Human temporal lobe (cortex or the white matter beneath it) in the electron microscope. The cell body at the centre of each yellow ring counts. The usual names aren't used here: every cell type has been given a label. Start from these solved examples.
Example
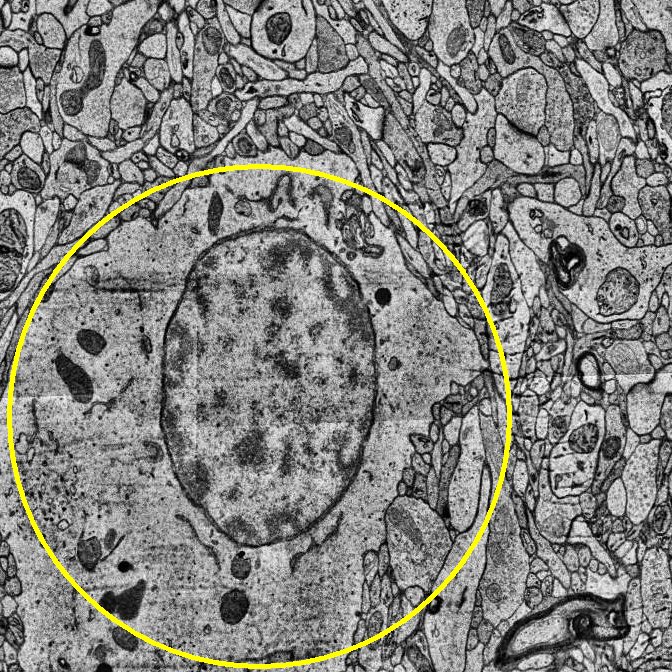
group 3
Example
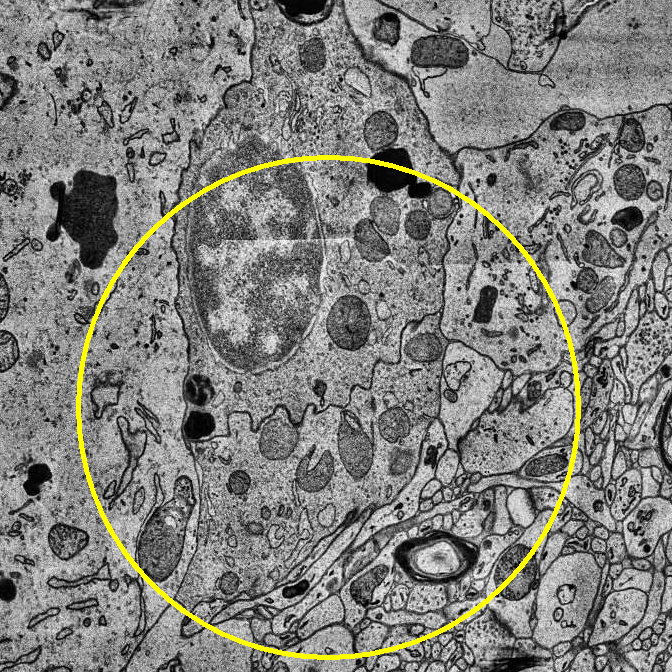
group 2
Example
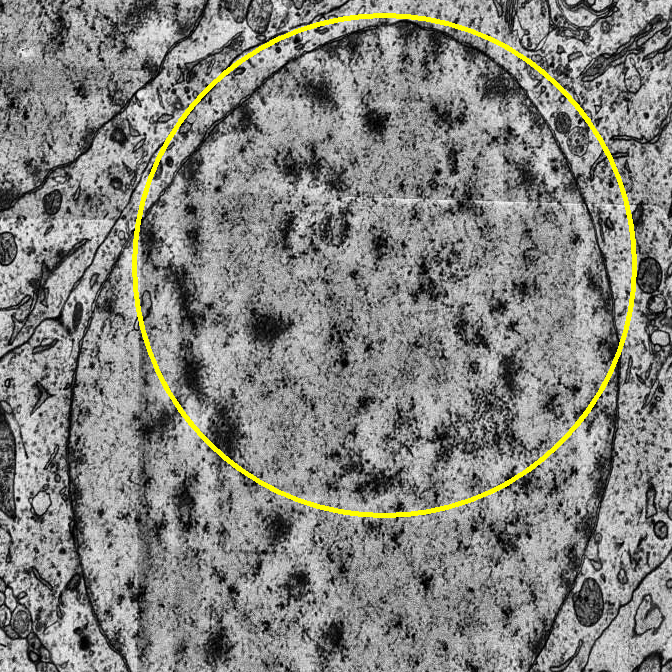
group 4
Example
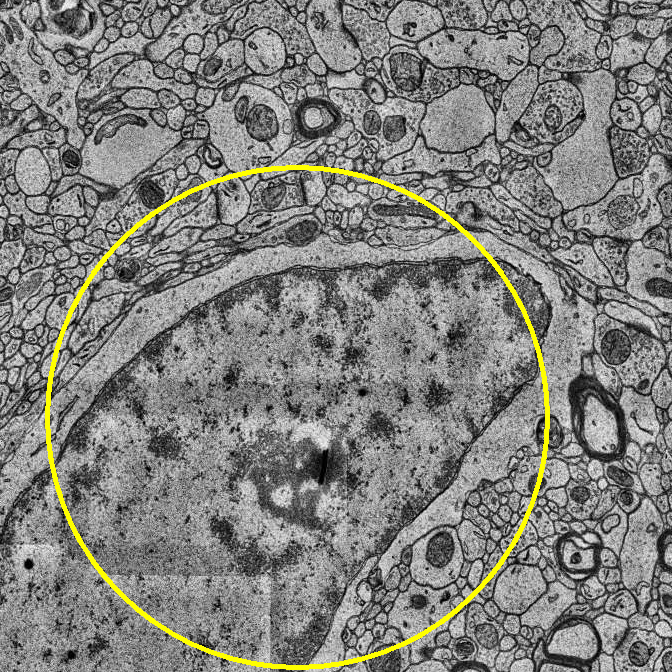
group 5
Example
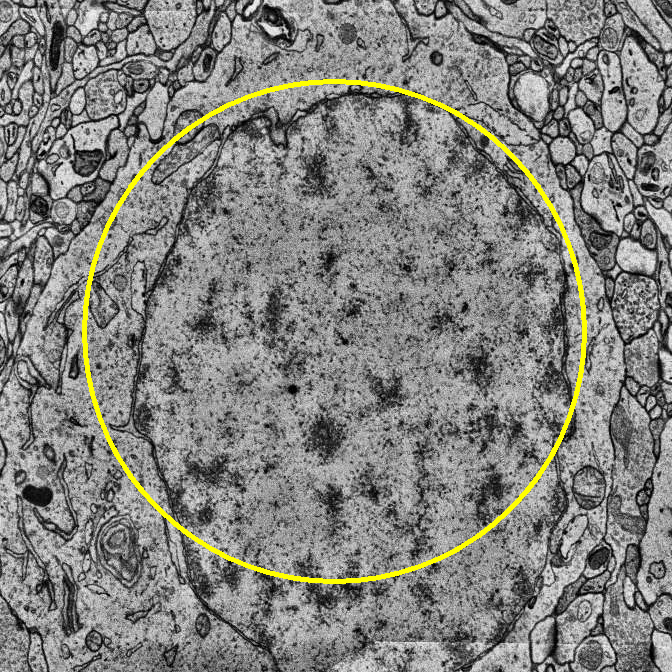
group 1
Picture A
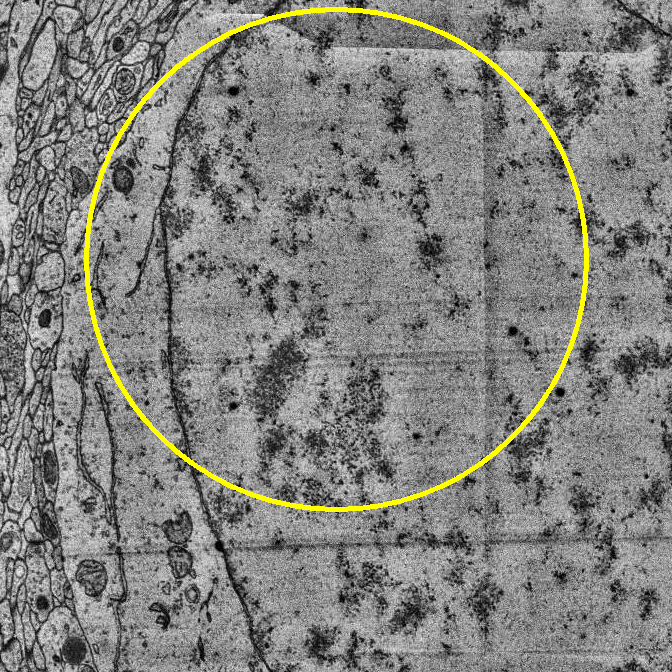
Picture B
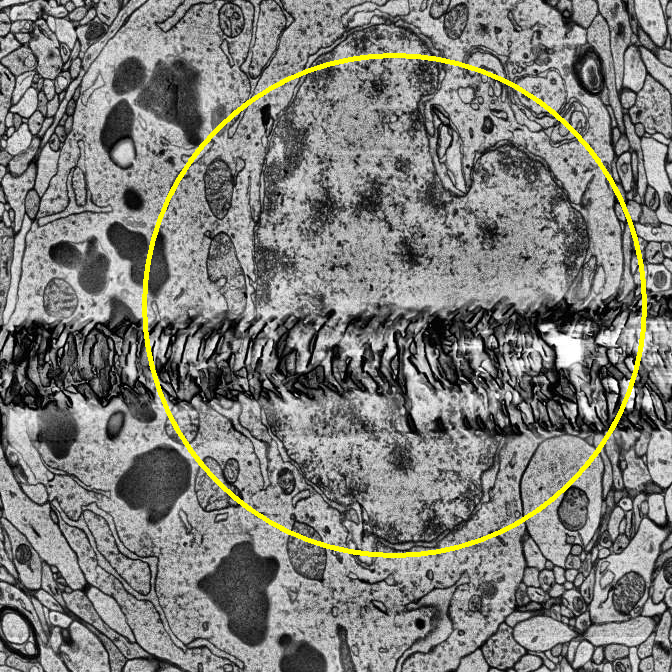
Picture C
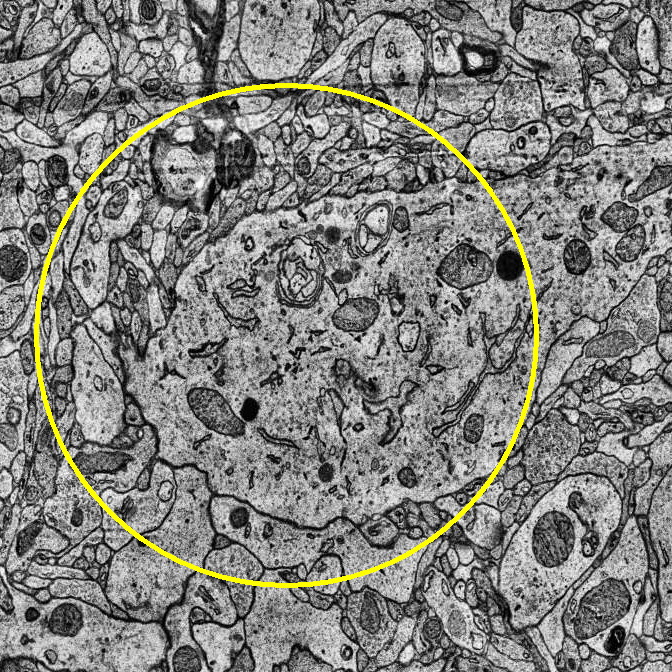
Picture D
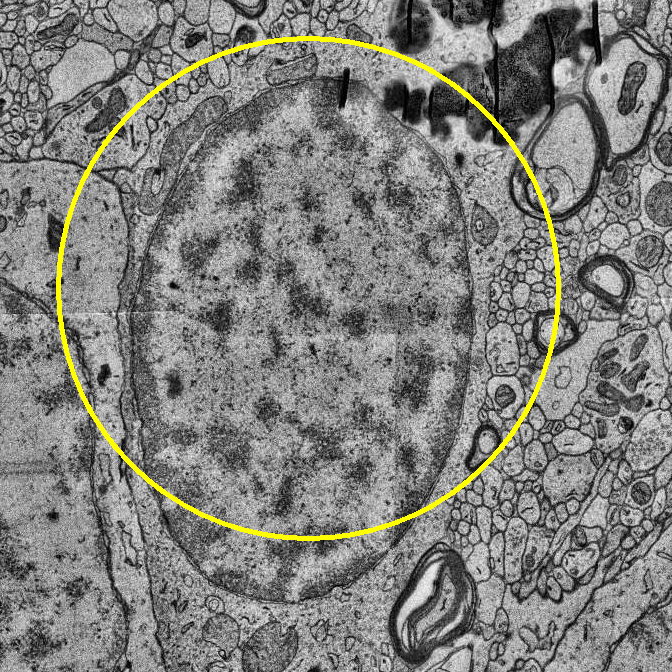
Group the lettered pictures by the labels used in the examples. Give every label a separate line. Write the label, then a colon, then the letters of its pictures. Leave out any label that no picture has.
group 2: D
group 4: A
group 1: B, C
